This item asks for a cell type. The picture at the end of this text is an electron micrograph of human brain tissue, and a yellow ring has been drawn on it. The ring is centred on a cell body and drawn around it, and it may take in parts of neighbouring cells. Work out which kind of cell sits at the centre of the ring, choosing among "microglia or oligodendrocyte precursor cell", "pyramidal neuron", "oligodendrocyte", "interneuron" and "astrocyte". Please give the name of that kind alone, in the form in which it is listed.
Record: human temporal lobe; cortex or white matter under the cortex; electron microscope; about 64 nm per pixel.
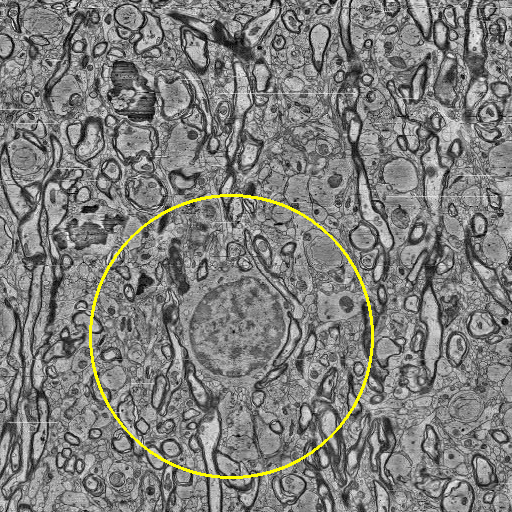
oligodendrocyte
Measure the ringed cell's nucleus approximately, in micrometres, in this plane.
Roughly 7 micrometers across in this plane.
